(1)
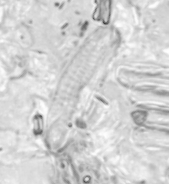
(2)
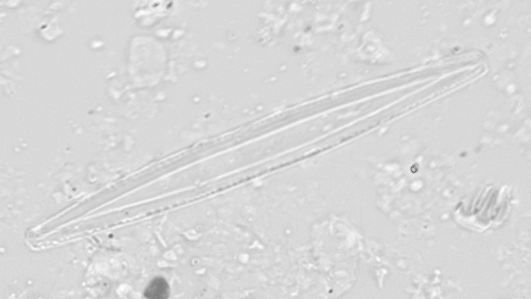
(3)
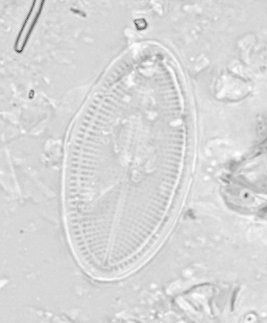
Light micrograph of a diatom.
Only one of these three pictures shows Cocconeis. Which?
Picture 3.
